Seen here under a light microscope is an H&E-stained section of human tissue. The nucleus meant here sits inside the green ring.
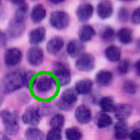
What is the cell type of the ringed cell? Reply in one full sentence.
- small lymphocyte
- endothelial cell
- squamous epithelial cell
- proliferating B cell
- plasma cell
It is as a small lymphocyte that the ringed cell is recorded.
